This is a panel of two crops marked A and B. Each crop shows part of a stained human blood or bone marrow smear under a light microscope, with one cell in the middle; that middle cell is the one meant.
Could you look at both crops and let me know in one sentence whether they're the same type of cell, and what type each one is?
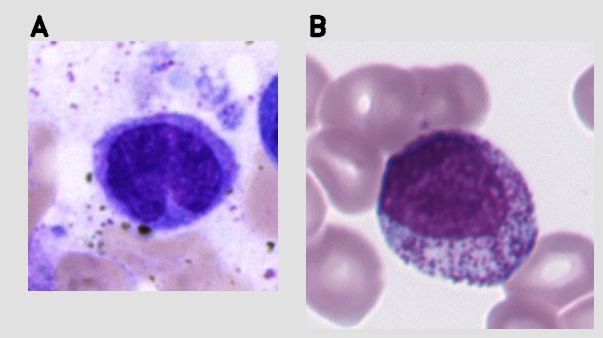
No, a monocyte is the subject of crop A, and a myelocyte is the subject of crop B.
